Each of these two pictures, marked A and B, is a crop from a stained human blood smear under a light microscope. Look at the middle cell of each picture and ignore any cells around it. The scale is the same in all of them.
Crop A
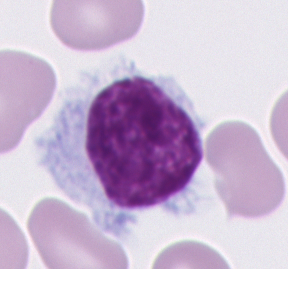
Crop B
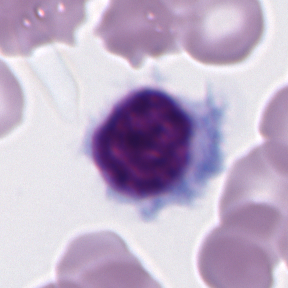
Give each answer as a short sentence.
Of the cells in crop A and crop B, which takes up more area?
The cell in crop A is larger, with about 1.5 times the area of the one in crop B.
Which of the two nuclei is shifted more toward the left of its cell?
Seen within its cell, the nucleus in crop B lies further toward the left.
